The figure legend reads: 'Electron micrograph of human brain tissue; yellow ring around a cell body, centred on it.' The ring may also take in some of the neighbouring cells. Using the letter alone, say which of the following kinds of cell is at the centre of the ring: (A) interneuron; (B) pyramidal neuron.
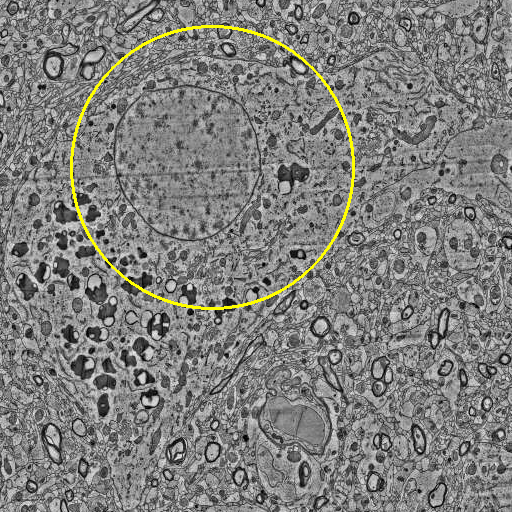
B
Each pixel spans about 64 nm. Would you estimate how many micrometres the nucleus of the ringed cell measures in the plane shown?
The nucleus is about 10 micrometres across in this plane.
